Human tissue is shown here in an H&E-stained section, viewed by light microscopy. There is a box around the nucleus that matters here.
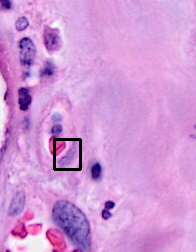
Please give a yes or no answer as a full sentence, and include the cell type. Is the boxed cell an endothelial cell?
Yes, the identification stands: the boxed cell is an endothelial cell.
